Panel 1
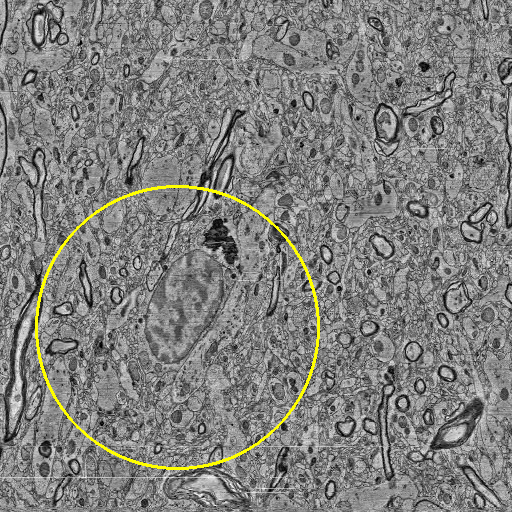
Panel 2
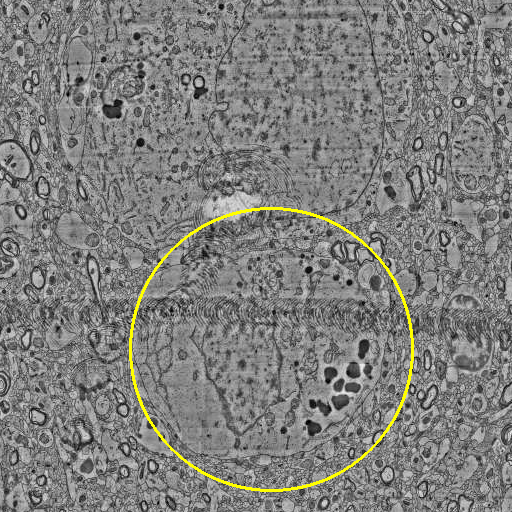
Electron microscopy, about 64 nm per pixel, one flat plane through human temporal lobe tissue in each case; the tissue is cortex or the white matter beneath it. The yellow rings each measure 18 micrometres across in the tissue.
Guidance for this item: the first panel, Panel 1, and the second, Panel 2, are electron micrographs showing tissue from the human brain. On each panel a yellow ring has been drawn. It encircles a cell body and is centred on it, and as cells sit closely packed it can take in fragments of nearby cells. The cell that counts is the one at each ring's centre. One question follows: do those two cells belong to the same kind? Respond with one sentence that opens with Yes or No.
No, the cells at the ring centres in Panel 1 and Panel 2 are of two kinds.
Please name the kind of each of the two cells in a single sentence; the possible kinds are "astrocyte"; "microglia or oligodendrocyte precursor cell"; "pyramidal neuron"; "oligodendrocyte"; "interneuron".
In the first picture the ring is centred on an oligodendrocyte, and in the second on an interneuron.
